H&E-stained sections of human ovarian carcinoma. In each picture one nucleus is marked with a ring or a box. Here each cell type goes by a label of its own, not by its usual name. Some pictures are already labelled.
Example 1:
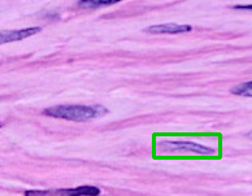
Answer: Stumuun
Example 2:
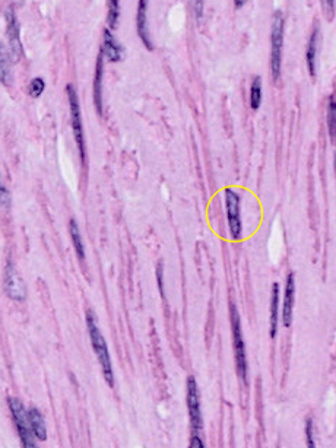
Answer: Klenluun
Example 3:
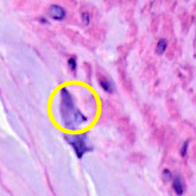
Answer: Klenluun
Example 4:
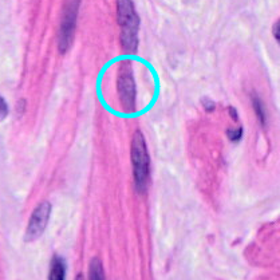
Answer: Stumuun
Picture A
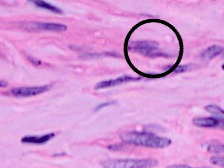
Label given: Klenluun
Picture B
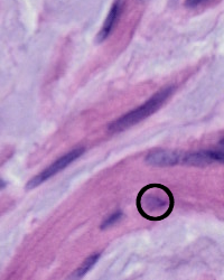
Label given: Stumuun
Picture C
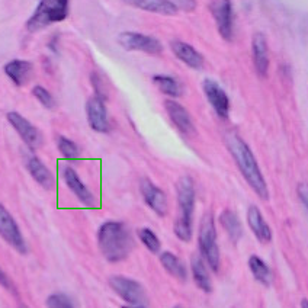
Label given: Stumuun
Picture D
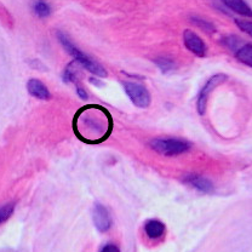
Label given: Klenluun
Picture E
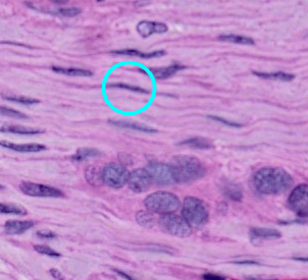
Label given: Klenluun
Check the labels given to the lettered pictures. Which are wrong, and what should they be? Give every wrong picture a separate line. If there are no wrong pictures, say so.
Wrong: A (Klenluun); correct: Stumuun
Wrong: D (Klenluun); correct: Stumuun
